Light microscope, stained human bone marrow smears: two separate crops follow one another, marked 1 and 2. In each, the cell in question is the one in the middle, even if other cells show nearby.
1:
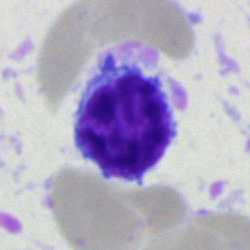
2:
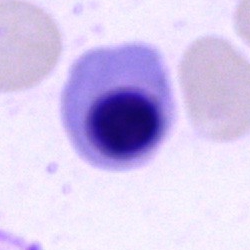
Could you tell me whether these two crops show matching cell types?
no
